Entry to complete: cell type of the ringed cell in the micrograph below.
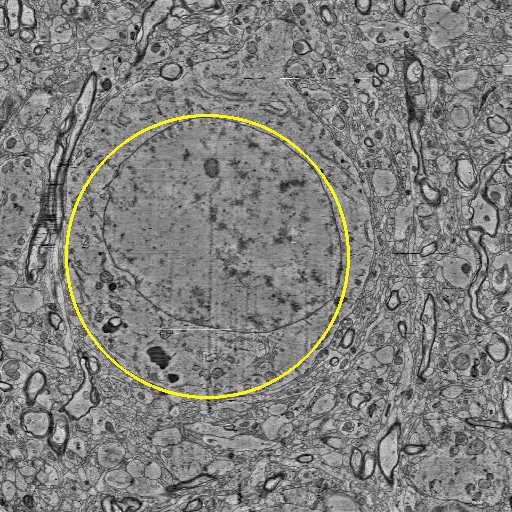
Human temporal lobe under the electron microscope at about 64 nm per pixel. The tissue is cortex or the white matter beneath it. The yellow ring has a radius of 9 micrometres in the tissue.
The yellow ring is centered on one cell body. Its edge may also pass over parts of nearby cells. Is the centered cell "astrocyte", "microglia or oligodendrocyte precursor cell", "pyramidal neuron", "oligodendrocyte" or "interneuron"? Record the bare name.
pyramidal neuron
